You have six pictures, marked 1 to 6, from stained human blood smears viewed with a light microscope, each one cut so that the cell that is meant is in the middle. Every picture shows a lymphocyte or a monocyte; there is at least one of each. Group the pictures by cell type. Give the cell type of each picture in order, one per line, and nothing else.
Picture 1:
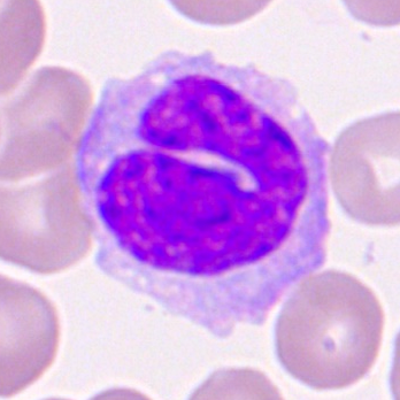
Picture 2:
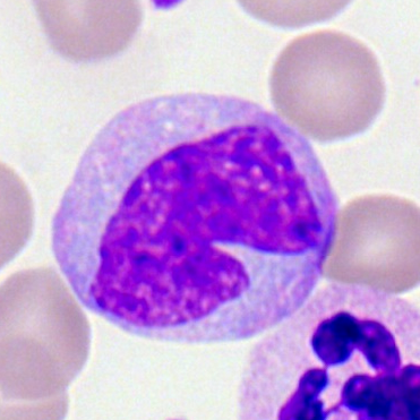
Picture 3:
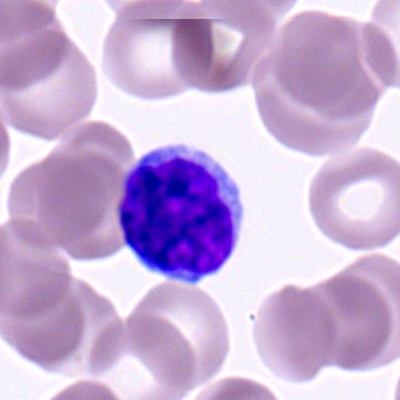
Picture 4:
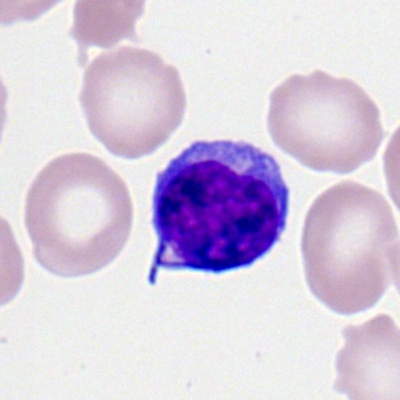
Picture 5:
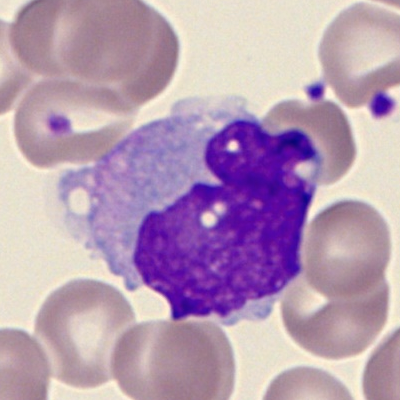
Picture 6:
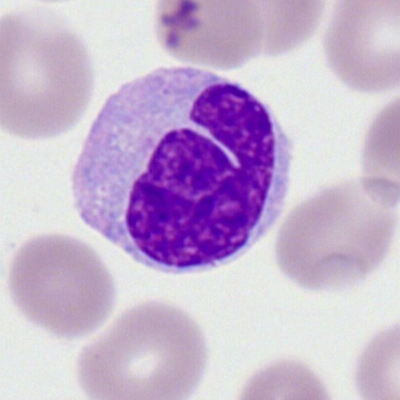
monocyte
monocyte
lymphocyte
lymphocyte
monocyte
monocyte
